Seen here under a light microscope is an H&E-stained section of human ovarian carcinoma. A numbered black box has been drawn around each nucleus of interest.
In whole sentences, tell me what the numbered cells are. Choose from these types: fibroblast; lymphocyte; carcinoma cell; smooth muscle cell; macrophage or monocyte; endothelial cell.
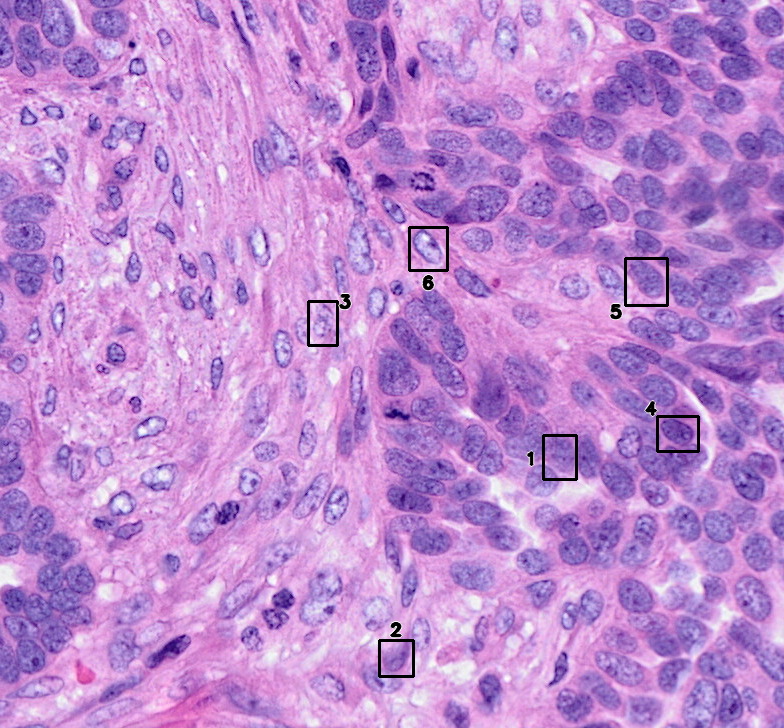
Cells 1, 4 and 5 are carcinoma cells. Cells 2, 3 and 6 are fibroblasts.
